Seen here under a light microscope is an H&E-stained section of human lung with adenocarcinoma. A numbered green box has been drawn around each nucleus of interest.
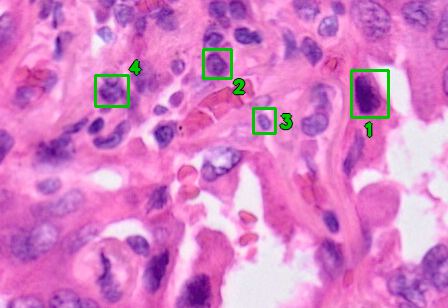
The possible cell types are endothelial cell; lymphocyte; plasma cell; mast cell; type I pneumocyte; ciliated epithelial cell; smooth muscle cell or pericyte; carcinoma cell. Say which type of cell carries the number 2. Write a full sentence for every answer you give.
Number 2 among the marked cells is a plasma cell.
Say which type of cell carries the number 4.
The correct answer for cell 4 is a plasma cell.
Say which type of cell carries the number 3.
The cell numbered 3 represents a lymphocyte.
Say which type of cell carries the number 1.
The marked cell bearing number 1 is a carcinoma cell.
